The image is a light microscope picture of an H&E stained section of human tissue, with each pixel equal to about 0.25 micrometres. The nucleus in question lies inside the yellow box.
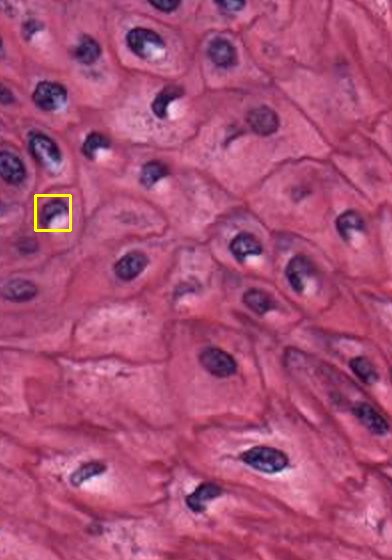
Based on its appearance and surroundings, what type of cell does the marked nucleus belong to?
squamous epithelial cell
